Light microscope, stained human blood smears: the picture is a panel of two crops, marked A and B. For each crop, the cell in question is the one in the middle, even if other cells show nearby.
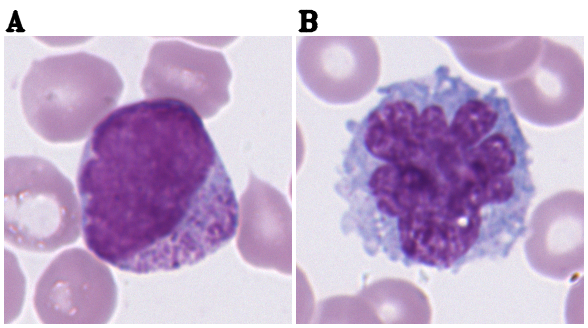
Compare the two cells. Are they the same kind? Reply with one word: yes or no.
no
